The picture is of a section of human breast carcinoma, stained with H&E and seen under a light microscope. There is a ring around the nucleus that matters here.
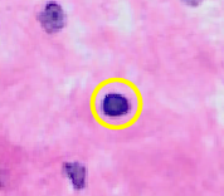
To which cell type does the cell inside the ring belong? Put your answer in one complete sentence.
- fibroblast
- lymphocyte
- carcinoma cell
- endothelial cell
It is as a lymphocyte that the cell inside the ring is recorded.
